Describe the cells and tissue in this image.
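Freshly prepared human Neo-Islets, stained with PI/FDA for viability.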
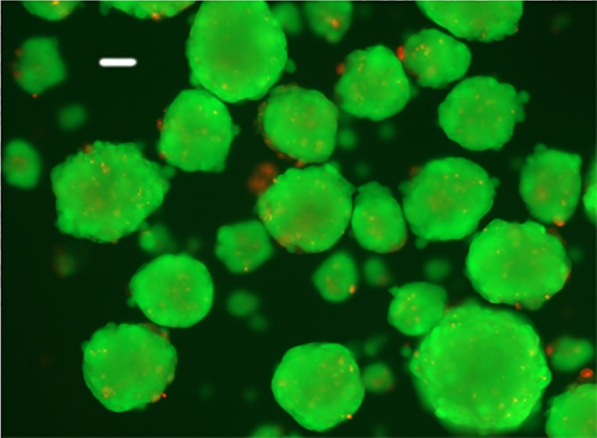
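Many free-floating, roughly spherical cell clusters of varying size are seen on a dark background. They range from small to large spheroids, and some lie close to or touching one another. Small scattered red dots lie on and around the clusters, mostly at their surfaces. The red dots are few compared with the extent of the green.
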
